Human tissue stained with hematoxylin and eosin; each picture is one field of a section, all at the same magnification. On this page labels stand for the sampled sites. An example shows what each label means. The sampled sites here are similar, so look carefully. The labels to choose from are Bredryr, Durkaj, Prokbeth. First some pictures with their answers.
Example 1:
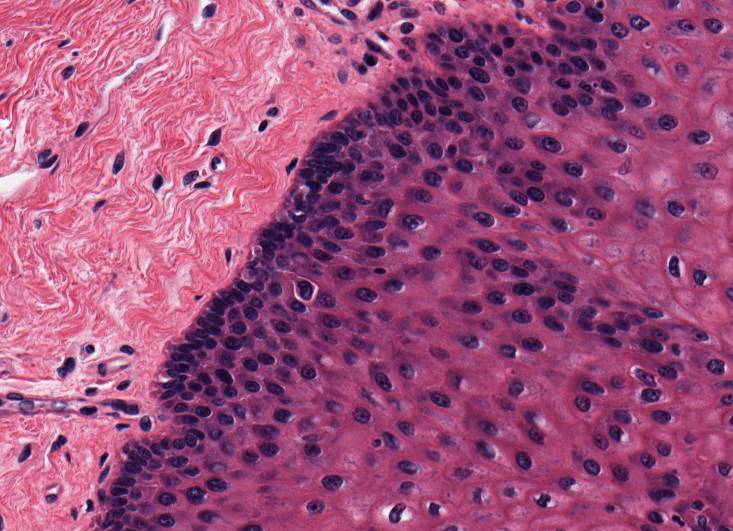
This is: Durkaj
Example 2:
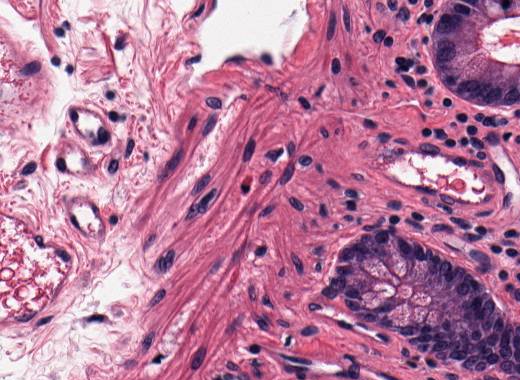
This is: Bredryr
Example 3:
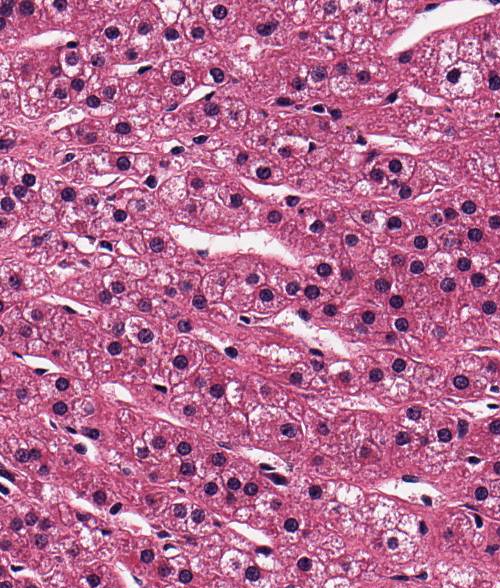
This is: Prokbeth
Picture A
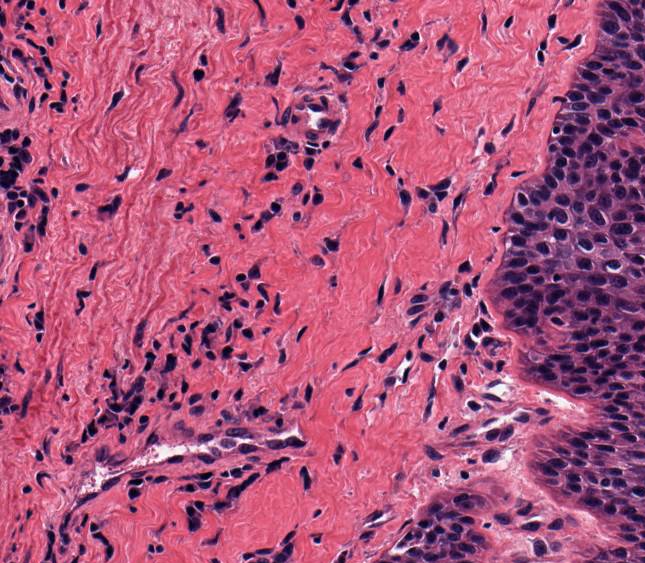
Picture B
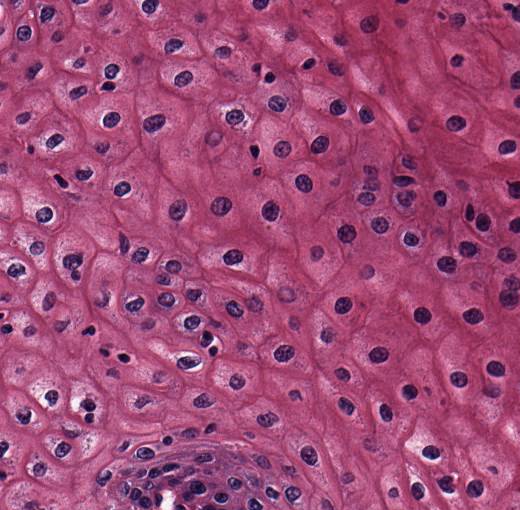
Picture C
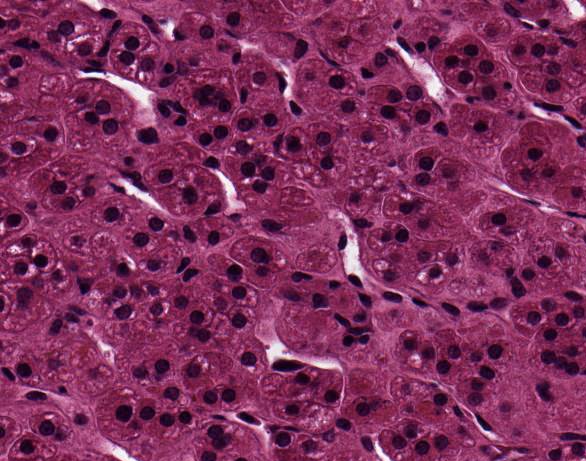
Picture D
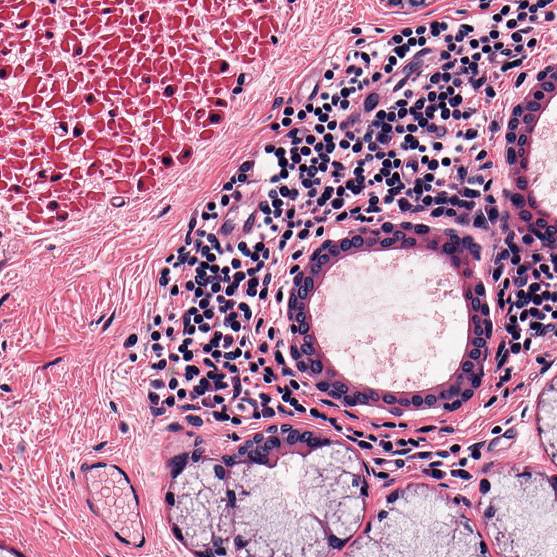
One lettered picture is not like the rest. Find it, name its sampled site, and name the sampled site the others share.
C differs and shows Prokbeth; the others show Durkaj.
